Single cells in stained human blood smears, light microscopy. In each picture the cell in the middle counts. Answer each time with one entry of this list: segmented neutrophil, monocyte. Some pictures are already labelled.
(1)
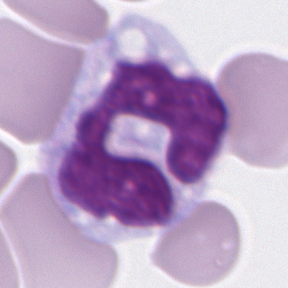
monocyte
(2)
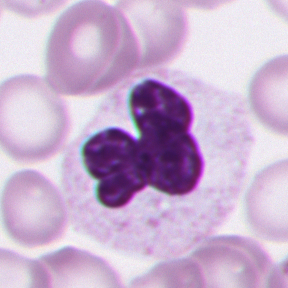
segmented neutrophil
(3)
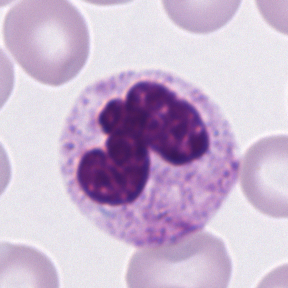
segmented neutrophil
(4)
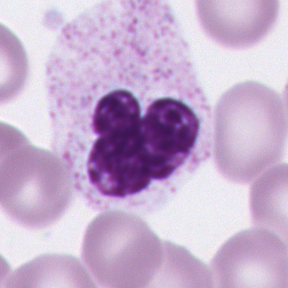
segmented neutrophil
